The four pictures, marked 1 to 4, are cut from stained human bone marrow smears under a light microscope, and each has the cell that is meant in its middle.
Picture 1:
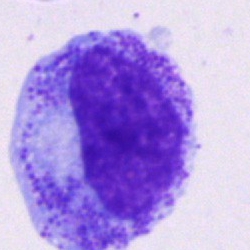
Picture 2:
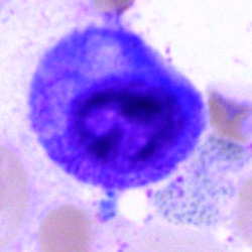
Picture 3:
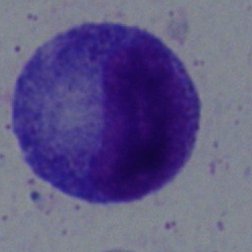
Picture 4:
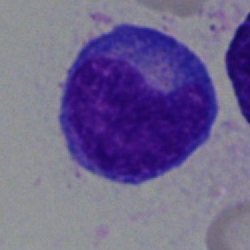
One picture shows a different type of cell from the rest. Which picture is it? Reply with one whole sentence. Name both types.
The different one is picture 4; it shows a monocyte, whereas all the others show promyelocytes.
